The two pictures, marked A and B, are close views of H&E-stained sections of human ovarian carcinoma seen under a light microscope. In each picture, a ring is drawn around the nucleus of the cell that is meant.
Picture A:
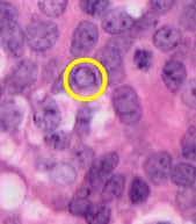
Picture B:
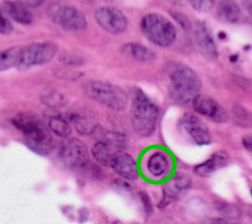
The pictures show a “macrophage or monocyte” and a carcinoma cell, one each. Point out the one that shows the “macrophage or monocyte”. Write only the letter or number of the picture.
B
